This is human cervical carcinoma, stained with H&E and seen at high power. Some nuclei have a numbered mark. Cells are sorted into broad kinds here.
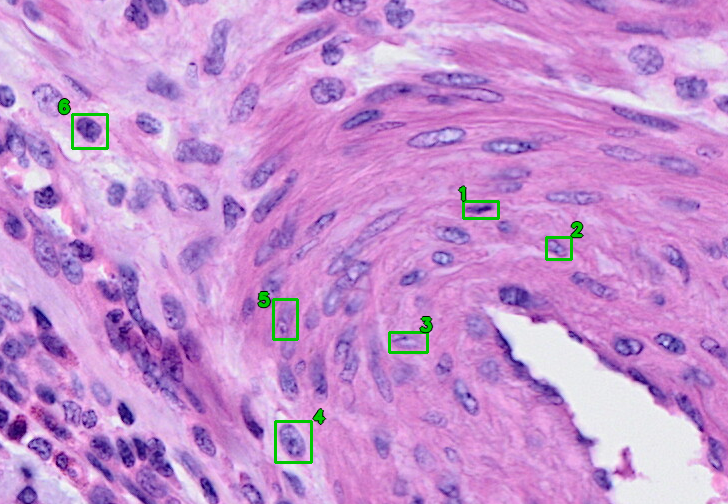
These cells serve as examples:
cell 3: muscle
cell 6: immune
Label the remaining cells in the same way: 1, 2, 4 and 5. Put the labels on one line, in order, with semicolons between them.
muscle; muscle; immune; muscle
